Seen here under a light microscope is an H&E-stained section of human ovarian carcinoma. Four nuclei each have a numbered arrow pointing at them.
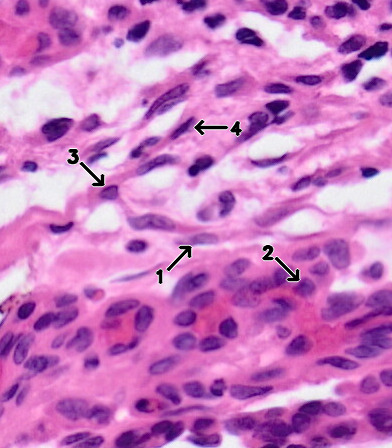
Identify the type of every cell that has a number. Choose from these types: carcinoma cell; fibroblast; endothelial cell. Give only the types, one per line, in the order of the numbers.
fibroblast
endothelial cell
fibroblast
fibroblast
